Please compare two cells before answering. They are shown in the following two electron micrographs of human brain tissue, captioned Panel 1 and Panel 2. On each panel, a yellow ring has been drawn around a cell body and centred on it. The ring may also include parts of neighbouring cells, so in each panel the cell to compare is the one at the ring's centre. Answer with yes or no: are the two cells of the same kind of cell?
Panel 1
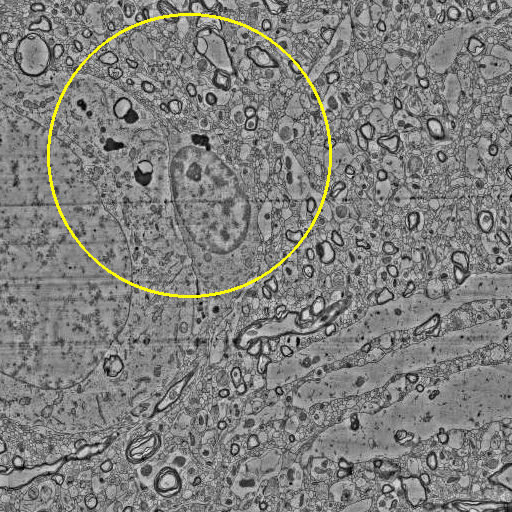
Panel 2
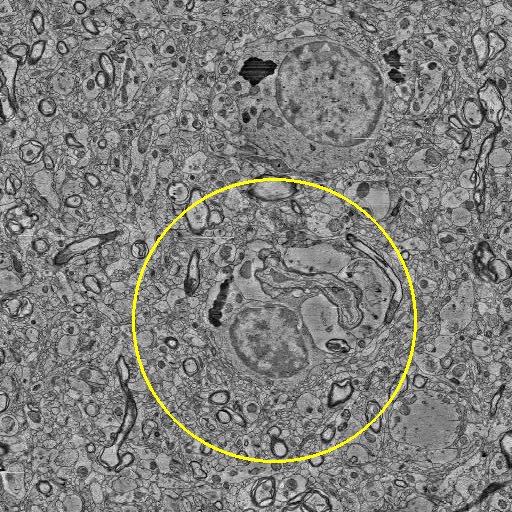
yes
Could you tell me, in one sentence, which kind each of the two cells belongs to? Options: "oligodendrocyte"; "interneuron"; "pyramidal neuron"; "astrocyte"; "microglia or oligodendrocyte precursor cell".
Both pictures show an oligodendrocyte at the centre of the ring.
